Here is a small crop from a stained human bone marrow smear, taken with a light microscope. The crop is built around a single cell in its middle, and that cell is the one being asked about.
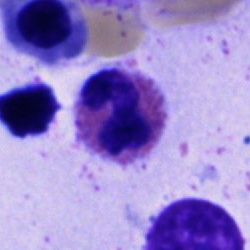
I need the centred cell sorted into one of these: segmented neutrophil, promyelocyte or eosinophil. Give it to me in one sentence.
The centered cell in this crop is an eosinophil.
